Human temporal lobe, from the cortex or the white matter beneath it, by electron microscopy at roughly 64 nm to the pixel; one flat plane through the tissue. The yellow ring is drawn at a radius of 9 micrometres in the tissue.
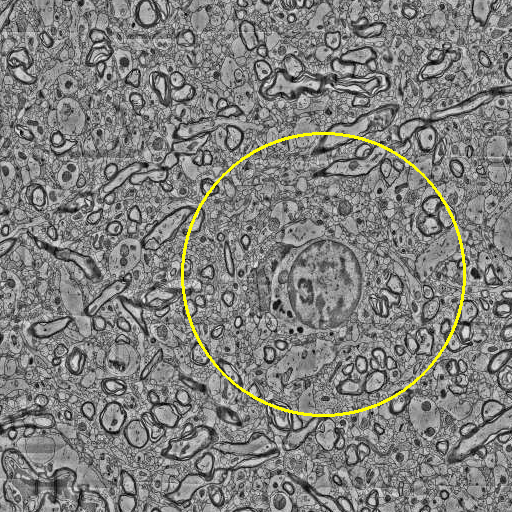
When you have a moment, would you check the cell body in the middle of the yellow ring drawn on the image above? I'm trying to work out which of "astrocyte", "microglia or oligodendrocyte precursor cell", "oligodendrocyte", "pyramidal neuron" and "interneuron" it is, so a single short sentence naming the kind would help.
This cell body belongs to an oligodendrocyte.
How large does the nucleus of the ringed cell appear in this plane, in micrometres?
About 6 micrometres by about 5 micrometres in this plane.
